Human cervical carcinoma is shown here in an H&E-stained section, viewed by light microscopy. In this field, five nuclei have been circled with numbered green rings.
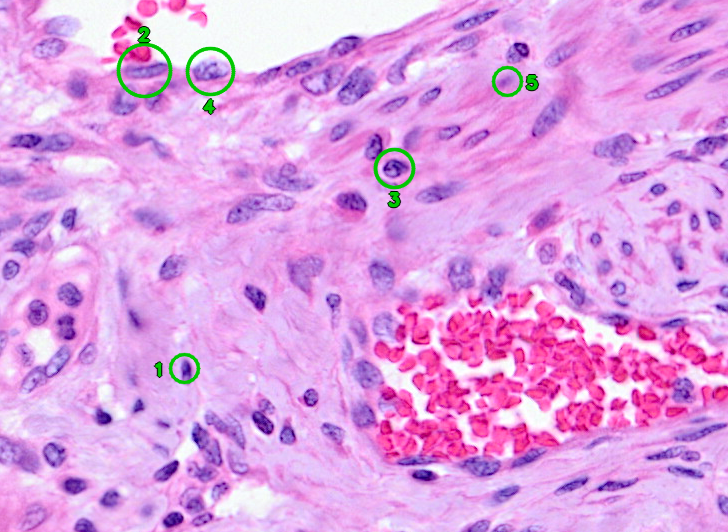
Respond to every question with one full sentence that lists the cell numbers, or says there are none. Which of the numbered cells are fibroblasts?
Only cell 1 should be marked as a fibroblast.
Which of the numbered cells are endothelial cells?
The cells whose numbers are 2 and 4 are endothelial cells.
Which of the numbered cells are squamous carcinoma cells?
Taken together, the numbered cells include no squamous carcinoma cells.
